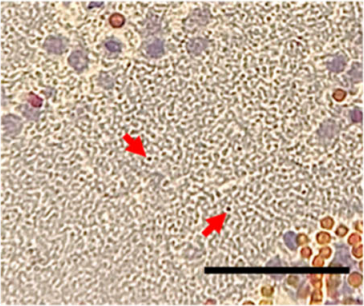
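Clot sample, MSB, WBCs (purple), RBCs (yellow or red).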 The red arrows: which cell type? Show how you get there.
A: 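The arrows point to tiny dots in a pale granular background. The dots are much smaller than the round cells at the edges. On this evidence: platelets.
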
